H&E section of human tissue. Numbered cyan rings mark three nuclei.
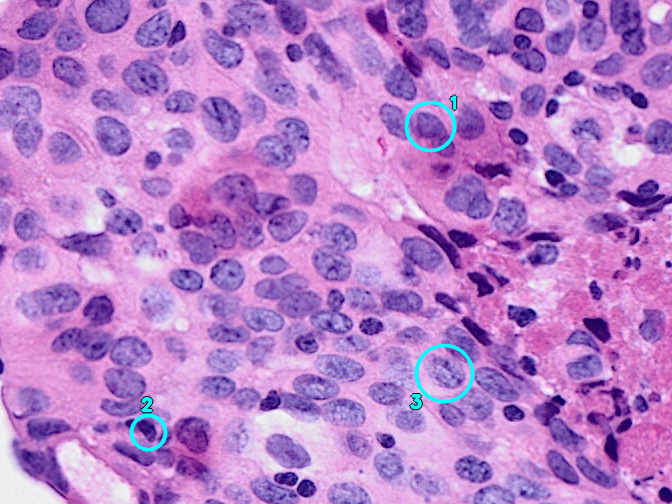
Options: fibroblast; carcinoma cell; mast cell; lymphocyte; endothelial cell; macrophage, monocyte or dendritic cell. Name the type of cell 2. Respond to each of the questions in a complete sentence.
The nucleus labeled 2 belongs to a lymphocyte.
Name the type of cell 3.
It is as a carcinoma cell that the cell numbered 3 is identified.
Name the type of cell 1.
In the tissue shown, cell 1 is a carcinoma cell.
